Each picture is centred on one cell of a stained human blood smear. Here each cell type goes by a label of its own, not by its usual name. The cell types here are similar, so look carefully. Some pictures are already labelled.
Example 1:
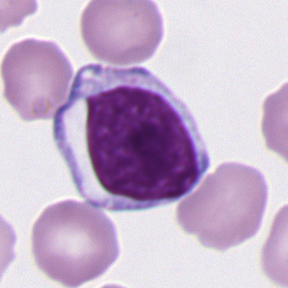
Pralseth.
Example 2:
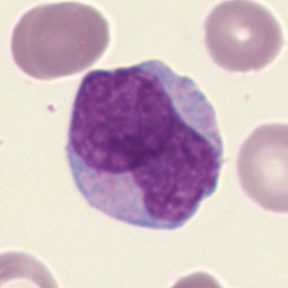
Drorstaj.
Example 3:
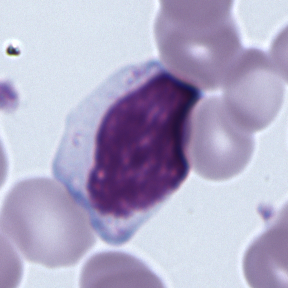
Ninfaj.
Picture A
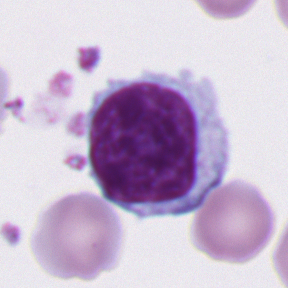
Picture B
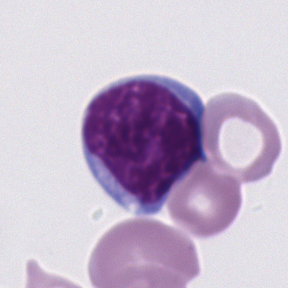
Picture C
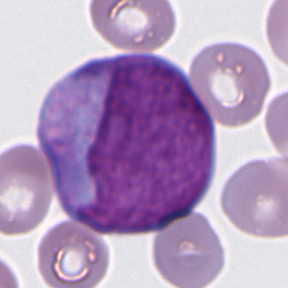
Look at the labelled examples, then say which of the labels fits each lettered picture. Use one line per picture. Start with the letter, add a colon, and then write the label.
A: Pralseth.
B: Pralseth.
C: Drorstaj.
